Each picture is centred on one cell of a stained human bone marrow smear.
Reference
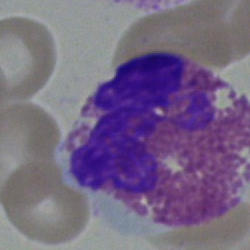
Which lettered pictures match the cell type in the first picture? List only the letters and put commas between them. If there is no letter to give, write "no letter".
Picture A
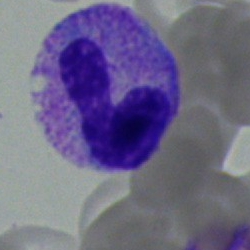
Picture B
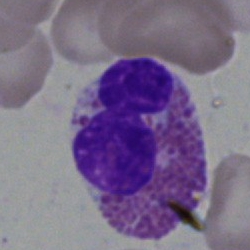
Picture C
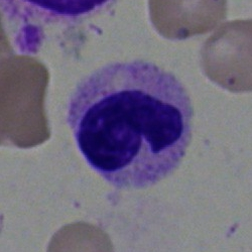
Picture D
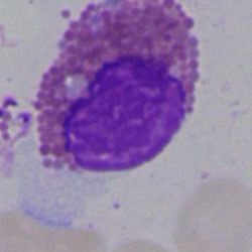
B, D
